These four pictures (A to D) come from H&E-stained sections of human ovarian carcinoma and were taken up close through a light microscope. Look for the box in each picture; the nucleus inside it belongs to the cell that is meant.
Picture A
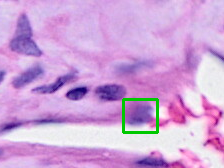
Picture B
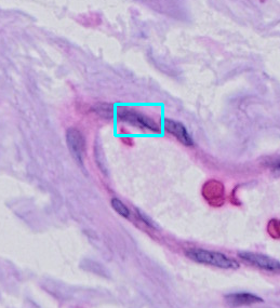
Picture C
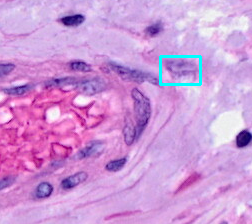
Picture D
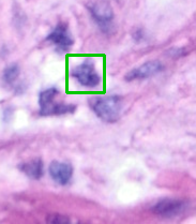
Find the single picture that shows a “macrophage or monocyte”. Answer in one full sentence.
The picture with the “macrophage or monocyte” is D.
